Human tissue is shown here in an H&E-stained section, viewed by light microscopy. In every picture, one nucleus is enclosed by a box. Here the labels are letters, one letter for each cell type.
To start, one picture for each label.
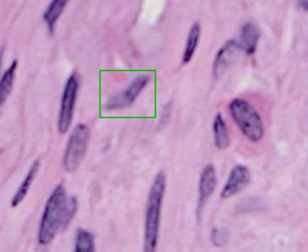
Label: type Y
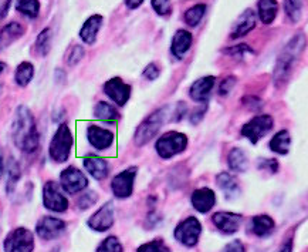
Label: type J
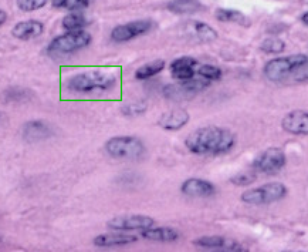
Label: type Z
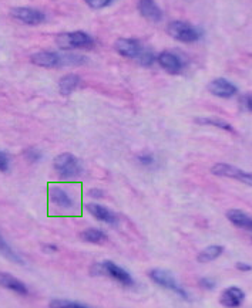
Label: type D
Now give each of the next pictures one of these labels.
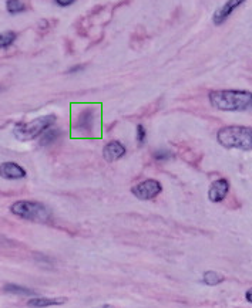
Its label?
type D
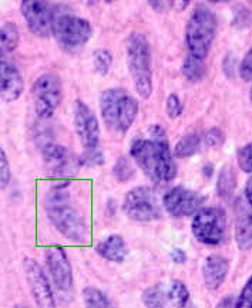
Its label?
type Z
